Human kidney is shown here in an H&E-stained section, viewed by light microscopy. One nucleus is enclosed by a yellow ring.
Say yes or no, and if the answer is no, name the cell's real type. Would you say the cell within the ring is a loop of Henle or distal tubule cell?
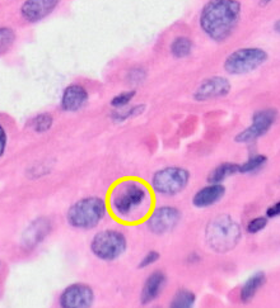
Yes.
